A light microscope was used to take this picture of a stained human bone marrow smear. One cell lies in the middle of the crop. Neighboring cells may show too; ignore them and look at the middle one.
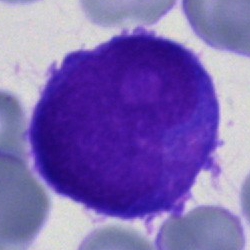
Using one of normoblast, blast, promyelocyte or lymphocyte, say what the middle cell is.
blast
